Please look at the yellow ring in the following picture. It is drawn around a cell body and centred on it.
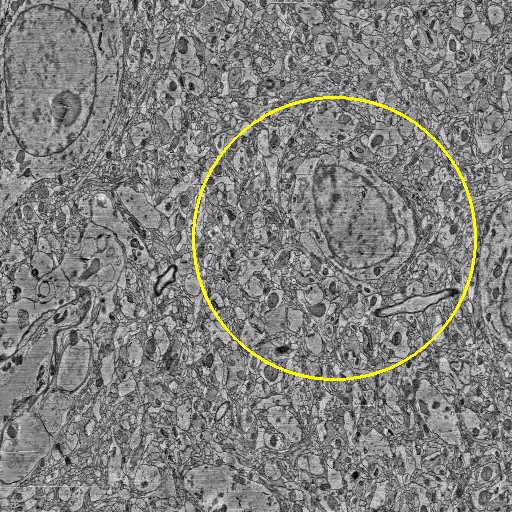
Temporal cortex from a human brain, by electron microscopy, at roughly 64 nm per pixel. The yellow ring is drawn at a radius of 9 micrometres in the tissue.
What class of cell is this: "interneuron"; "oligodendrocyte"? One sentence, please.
The ring surrounds the cell body of an interneuron.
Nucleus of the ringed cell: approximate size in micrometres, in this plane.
About 7 by 5 micrometres, the nucleus being clearly longer than it is wide in this plane.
